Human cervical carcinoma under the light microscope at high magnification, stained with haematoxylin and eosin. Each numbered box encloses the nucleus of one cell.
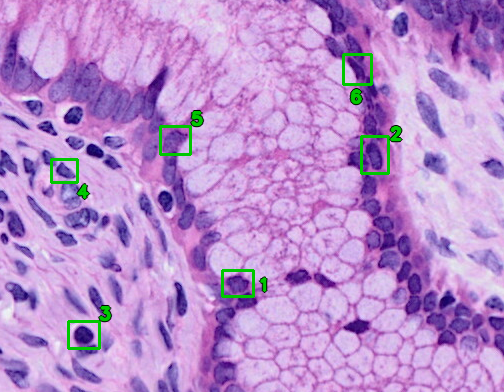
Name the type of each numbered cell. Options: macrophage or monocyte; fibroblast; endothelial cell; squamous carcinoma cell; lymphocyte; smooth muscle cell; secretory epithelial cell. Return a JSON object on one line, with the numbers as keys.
{"1": "secretory epithelial cell", "2": "secretory epithelial cell", "3": "lymphocyte", "4": "fibroblast", "5": "secretory epithelial cell", "6": "secretory epithelial cell"}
